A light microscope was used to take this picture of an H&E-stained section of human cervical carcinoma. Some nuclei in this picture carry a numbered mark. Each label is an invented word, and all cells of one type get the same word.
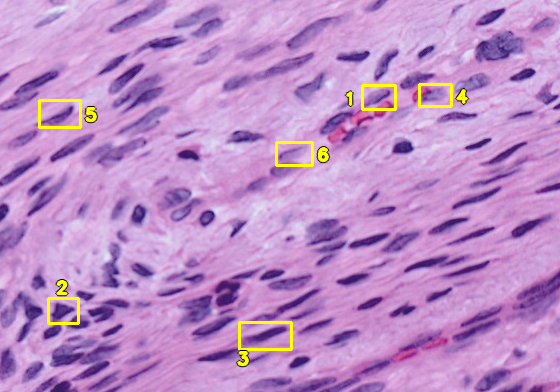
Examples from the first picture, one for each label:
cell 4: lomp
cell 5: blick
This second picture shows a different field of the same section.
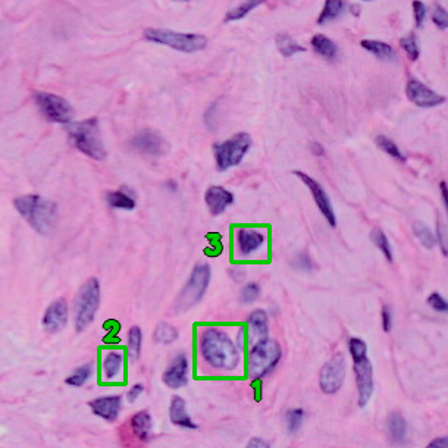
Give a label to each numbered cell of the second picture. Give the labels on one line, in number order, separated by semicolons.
lomp; blick; blick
